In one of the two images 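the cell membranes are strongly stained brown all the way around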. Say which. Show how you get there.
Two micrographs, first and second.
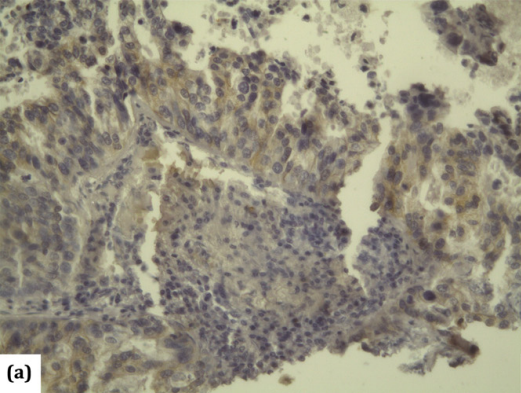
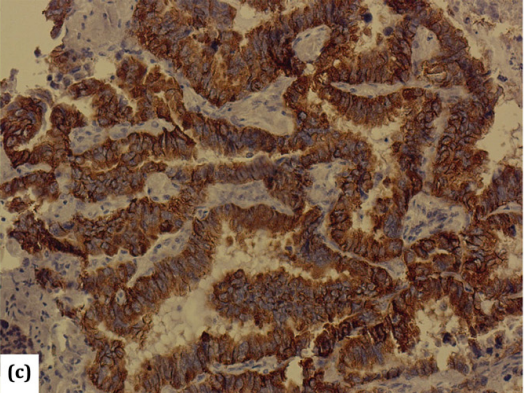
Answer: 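The second image. First image: tumour cells show only faint, patchy light brown tint.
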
